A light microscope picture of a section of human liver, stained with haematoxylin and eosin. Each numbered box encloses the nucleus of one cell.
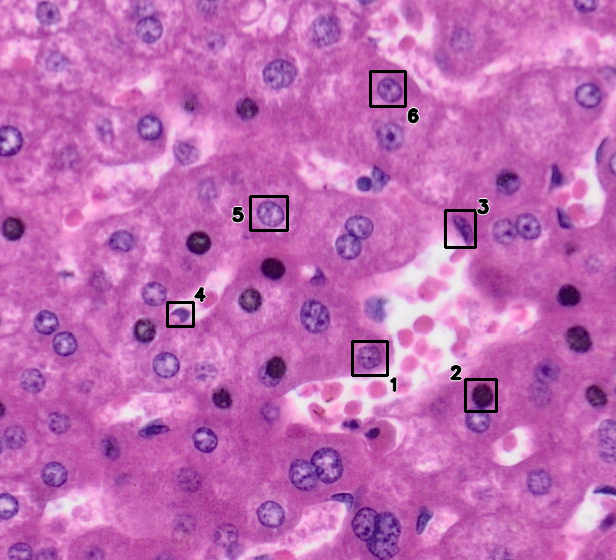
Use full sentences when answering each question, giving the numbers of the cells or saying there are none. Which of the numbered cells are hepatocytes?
On this slide, the cells numbered 1, 2, 5 and 6 are hepatocytes.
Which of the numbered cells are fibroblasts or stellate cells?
There is just one numbered cell that is a fibroblast or stellate cell, and it is cell 3.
